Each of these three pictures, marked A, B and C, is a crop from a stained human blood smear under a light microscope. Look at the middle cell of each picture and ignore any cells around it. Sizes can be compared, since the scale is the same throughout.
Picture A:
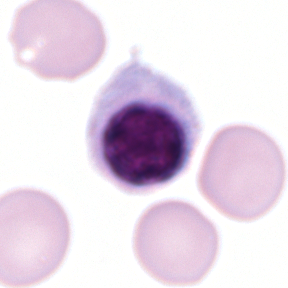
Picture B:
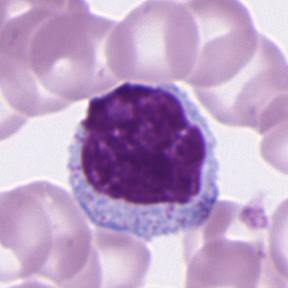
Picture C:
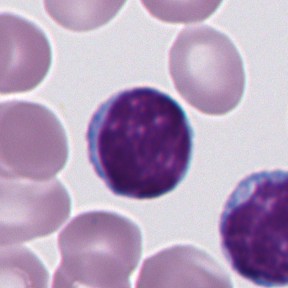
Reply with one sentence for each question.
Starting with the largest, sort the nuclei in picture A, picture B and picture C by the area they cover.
The order is B, C, A, beginning with the largest.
